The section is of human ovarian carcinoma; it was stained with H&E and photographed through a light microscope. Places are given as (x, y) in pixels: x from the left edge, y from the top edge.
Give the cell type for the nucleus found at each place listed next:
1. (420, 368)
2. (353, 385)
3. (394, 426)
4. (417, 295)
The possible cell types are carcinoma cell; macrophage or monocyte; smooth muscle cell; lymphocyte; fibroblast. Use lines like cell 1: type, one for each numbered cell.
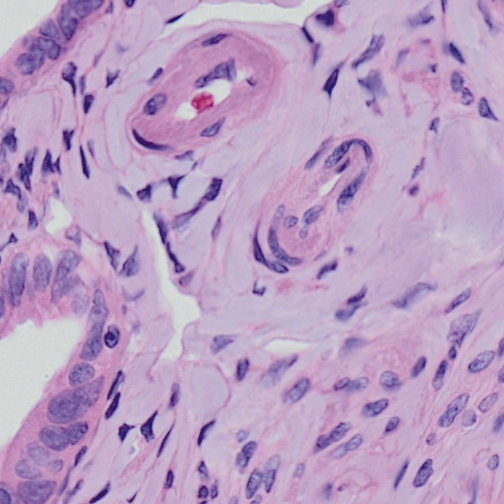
cell 1: smooth muscle cell
cell 2: smooth muscle cell
cell 3: smooth muscle cell
cell 4: fibroblast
